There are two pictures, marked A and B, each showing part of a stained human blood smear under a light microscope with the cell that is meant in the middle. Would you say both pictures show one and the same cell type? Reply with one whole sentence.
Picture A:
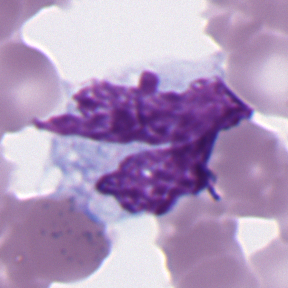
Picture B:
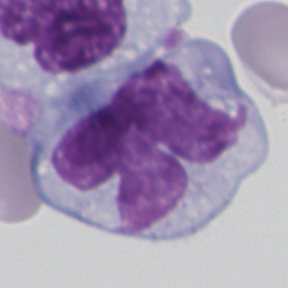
Yes, both cells are monocytes.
